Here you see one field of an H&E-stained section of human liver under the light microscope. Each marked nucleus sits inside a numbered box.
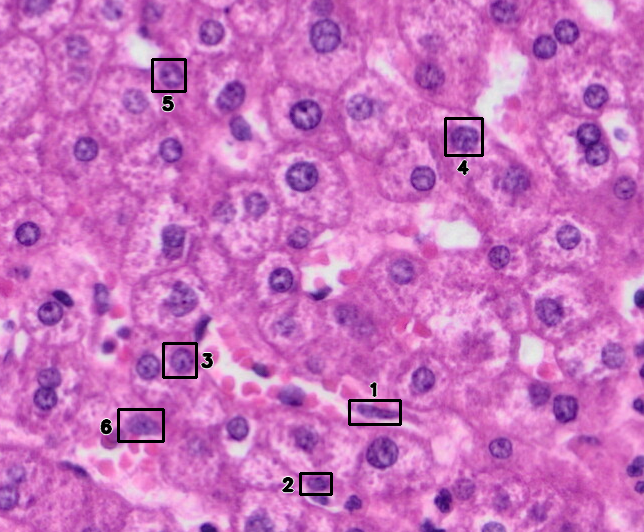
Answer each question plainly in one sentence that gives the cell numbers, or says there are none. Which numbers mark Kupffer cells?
Identified as Kupffer cells are the cells numbered 1 and 2.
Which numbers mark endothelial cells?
Cell 6 is an endothelial cell; the remaining numbered cells are not.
